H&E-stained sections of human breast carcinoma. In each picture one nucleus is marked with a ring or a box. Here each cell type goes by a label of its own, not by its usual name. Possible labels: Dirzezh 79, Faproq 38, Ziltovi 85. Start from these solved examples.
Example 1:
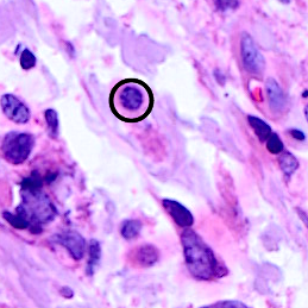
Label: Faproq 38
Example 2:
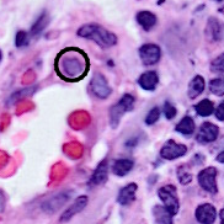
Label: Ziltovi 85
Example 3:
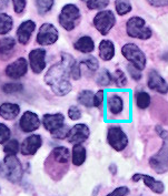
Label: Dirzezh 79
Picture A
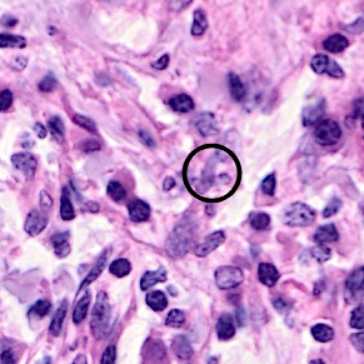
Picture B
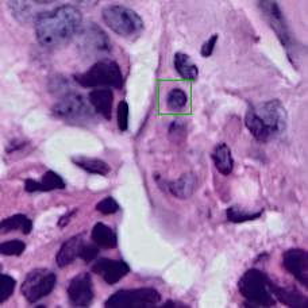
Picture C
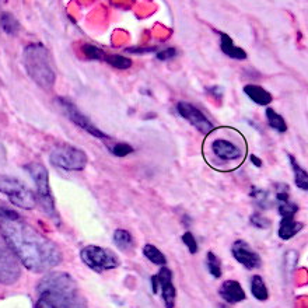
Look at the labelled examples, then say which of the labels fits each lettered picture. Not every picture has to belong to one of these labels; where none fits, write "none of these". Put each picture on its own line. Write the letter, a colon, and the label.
A: none of these
B: Faproq 38
C: Faproq 38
